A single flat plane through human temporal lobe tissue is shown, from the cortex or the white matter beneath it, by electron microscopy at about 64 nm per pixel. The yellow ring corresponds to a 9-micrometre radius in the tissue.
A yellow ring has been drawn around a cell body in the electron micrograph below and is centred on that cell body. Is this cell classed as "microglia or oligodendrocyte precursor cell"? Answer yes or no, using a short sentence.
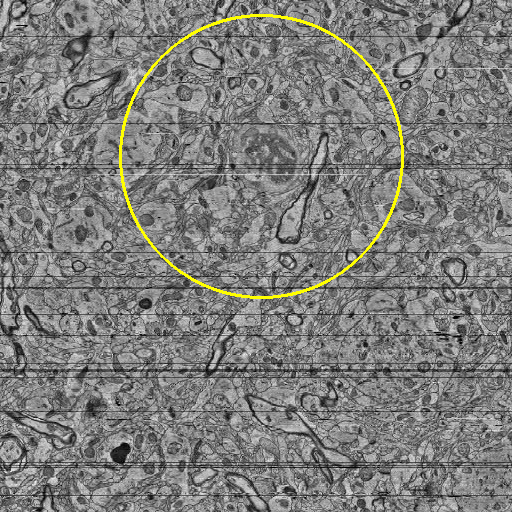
No, it is classed as another kind.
